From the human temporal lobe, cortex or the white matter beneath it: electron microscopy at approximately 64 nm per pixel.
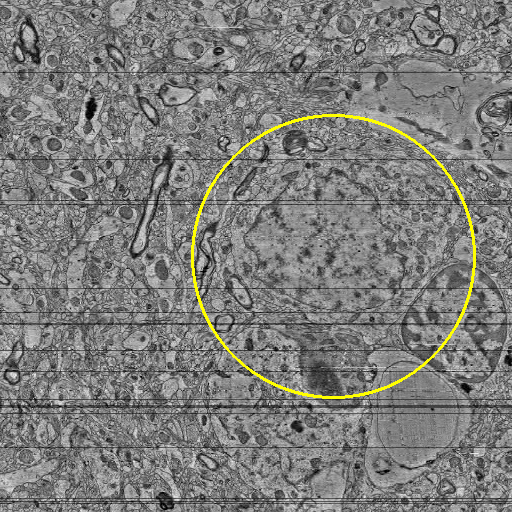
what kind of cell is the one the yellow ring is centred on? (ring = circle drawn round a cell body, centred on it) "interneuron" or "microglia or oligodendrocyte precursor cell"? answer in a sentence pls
The ring is drawn around an interneuron.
